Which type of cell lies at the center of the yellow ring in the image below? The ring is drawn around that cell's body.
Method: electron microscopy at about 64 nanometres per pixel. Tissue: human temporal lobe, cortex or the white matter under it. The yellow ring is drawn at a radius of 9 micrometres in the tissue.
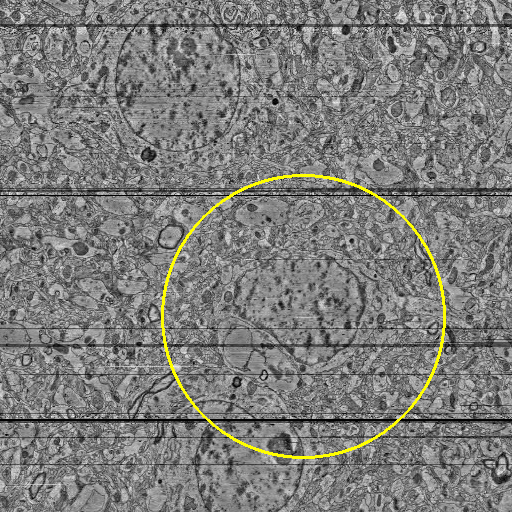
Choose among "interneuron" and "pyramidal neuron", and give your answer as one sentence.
The cell body at the center belongs to an interneuron.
